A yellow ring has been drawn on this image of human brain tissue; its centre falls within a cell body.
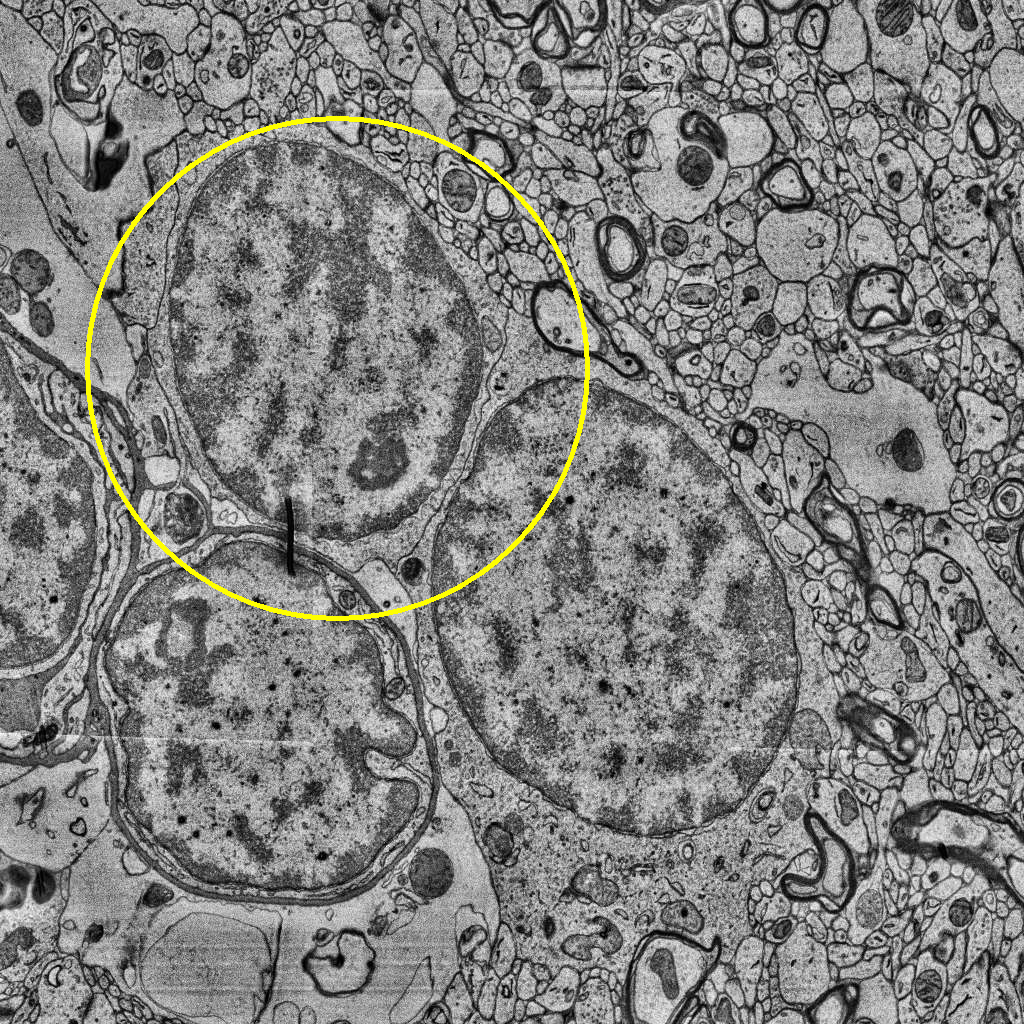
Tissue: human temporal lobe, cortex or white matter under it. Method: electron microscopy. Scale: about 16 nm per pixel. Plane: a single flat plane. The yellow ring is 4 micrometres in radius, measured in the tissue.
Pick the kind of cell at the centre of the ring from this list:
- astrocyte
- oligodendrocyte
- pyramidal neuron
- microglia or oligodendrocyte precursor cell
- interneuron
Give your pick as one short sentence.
The centre of the ring holds an oligodendrocyte.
